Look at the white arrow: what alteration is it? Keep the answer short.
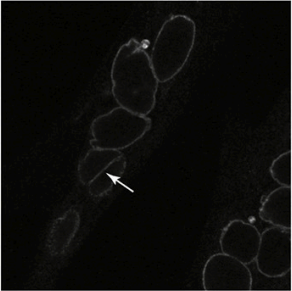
invaginations of the nuclear envelope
